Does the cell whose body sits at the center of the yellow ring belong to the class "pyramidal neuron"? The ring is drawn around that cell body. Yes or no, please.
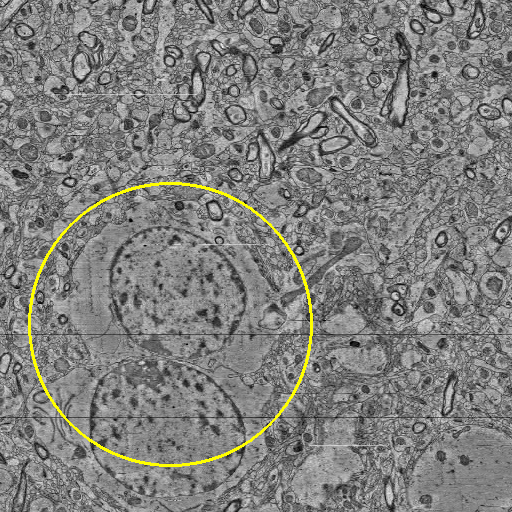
No, it belongs to another class.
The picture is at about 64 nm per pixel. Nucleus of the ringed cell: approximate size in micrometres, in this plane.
About 9 by 8 micrometers, in this plane.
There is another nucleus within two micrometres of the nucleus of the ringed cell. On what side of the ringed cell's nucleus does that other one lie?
That other nucleus lies below it.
